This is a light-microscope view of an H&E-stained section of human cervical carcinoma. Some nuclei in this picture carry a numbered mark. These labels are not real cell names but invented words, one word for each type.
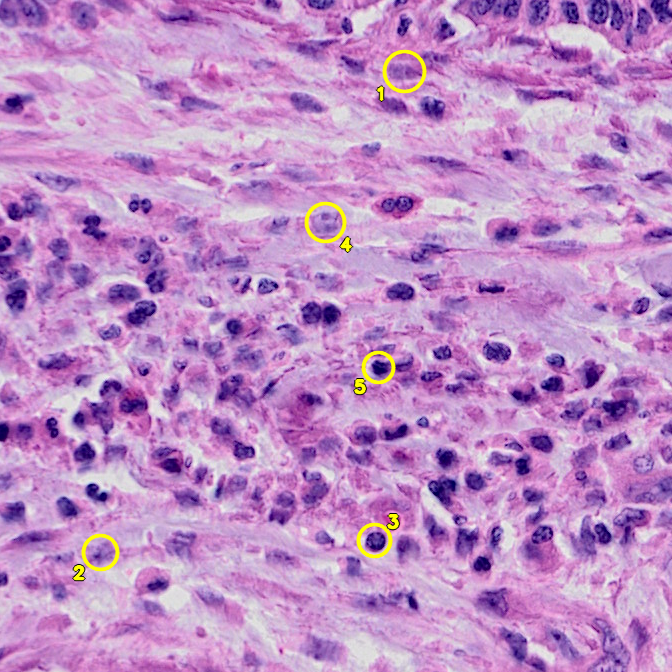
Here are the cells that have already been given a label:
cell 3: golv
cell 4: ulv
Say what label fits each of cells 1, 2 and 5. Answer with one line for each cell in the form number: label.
1: ulv
2: ulv
5: golv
